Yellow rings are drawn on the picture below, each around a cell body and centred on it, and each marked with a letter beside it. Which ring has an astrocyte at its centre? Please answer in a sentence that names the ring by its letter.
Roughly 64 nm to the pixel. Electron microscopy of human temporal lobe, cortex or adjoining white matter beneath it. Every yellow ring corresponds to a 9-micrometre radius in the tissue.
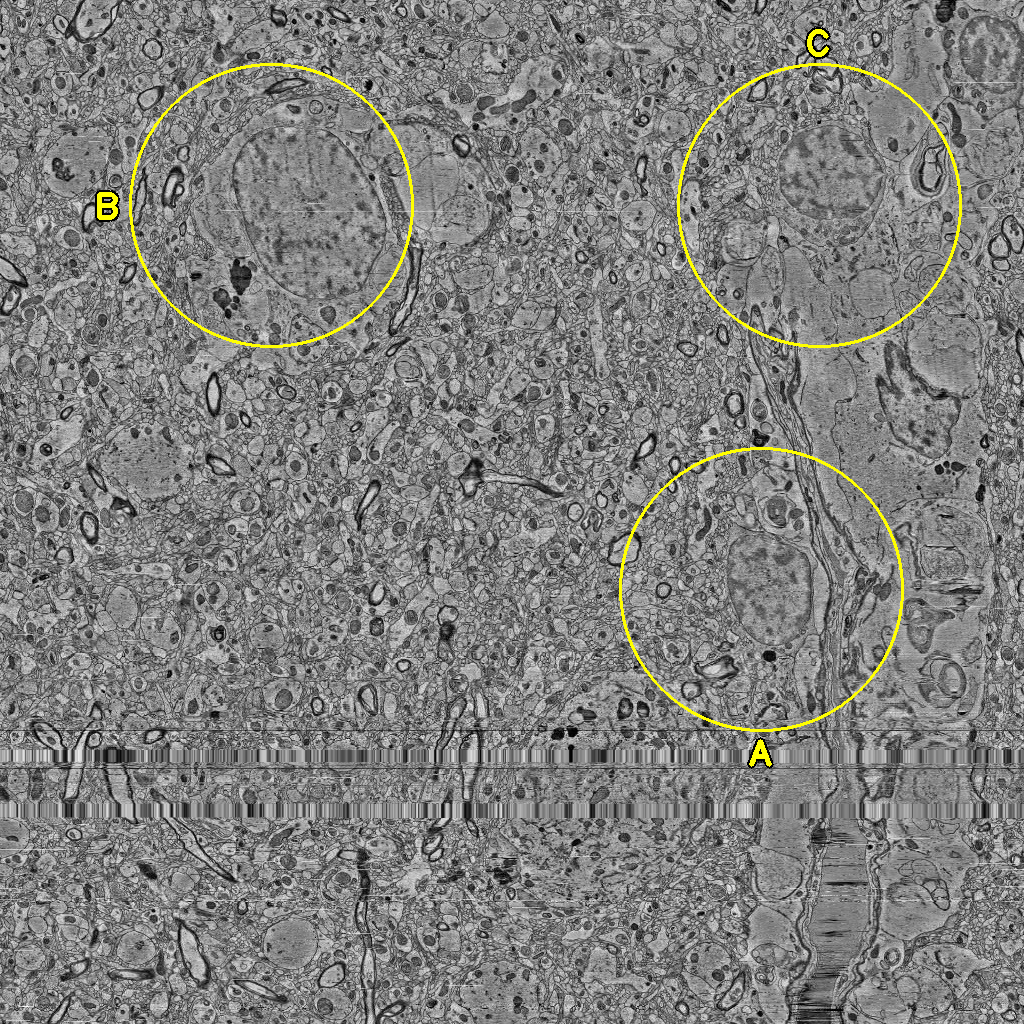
That is ring B.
